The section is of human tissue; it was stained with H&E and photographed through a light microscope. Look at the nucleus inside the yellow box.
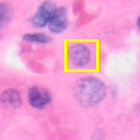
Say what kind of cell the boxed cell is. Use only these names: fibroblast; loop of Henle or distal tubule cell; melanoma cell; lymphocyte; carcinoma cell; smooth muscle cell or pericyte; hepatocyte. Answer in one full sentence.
Typologically, the boxed cell is a loop of Henle or distal tubule cell in this section.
